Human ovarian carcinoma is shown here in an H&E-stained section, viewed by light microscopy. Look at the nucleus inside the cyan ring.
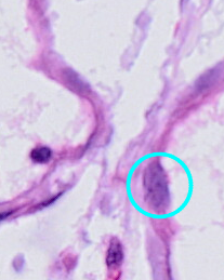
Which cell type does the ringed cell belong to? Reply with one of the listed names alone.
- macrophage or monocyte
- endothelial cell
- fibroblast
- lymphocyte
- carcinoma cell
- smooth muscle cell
endothelial cell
